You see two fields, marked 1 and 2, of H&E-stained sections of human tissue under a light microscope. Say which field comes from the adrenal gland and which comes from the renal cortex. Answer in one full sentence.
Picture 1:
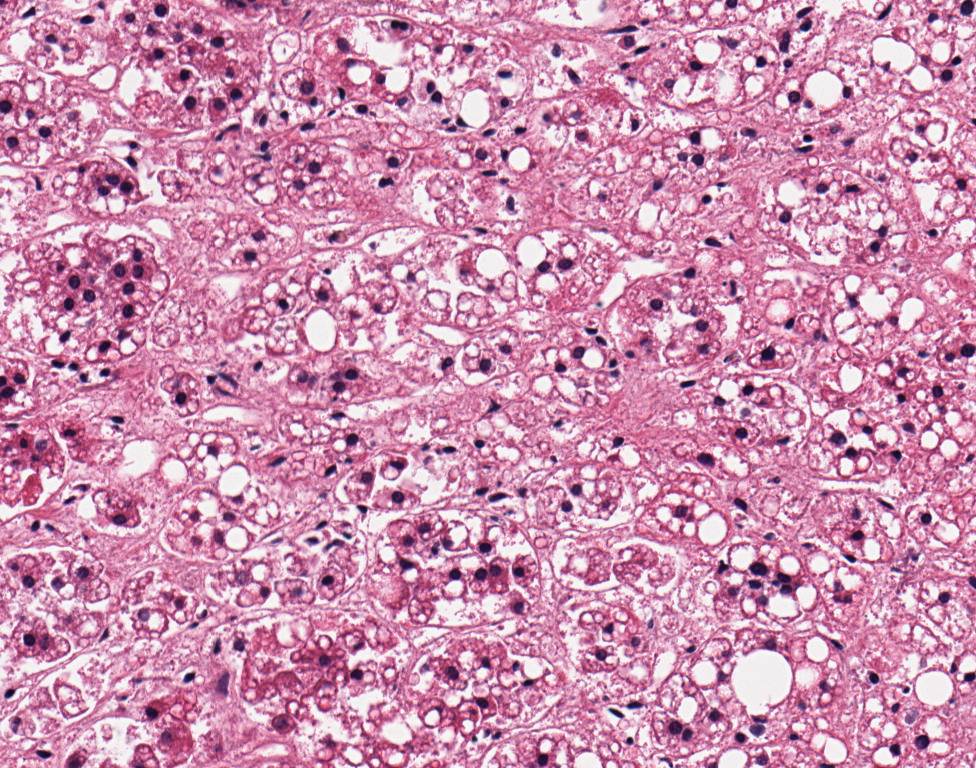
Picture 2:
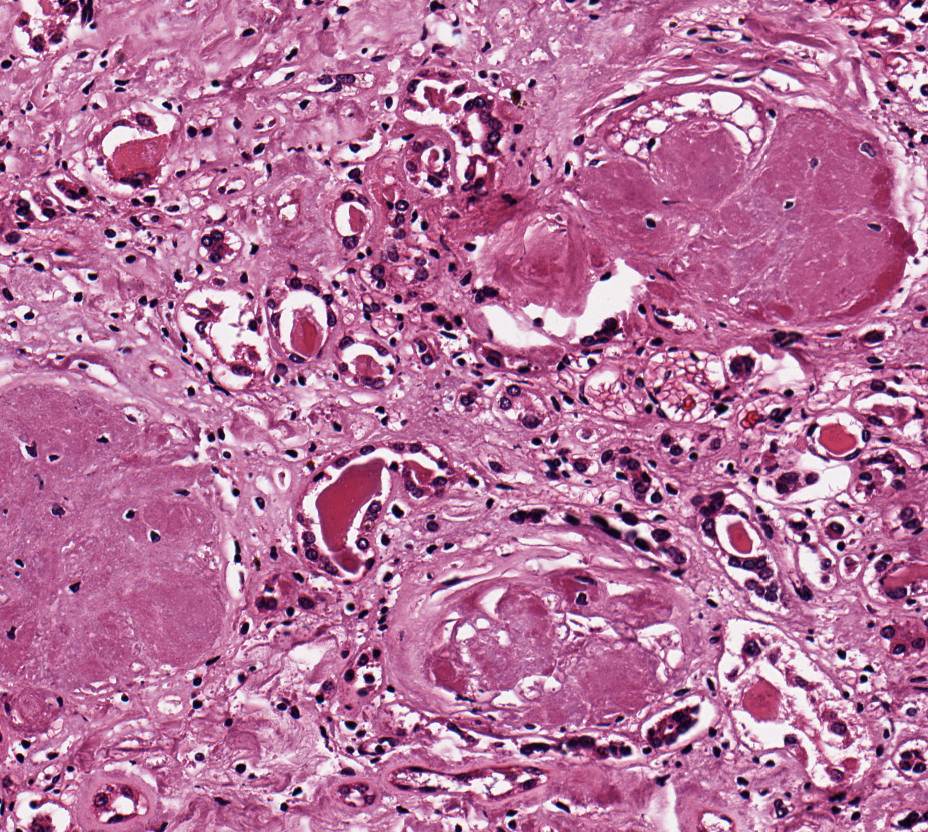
Picture 1 comes from the adrenal gland and picture 2 comes from the renal cortex.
